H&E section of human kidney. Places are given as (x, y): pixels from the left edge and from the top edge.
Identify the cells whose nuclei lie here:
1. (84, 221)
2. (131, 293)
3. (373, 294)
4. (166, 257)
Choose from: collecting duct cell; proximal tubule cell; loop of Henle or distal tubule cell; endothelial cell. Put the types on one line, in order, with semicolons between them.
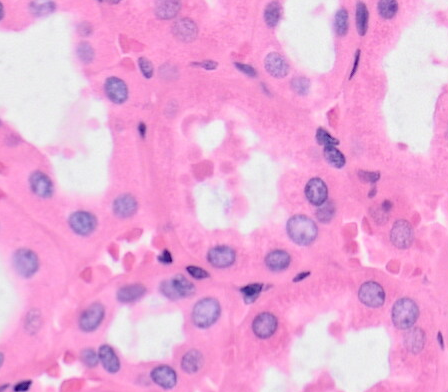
loop of Henle or distal tubule cell; collecting duct cell; proximal tubule cell; endothelial cell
